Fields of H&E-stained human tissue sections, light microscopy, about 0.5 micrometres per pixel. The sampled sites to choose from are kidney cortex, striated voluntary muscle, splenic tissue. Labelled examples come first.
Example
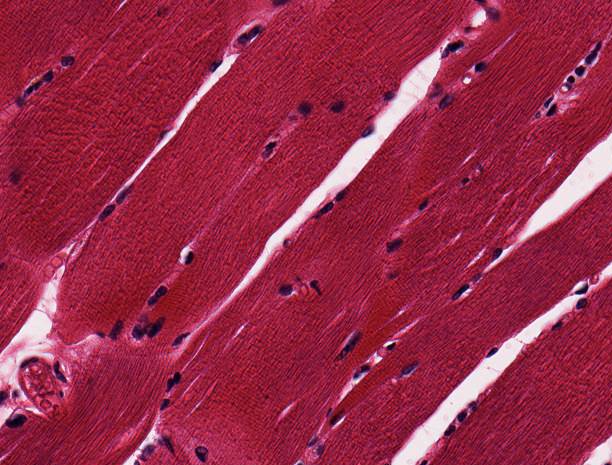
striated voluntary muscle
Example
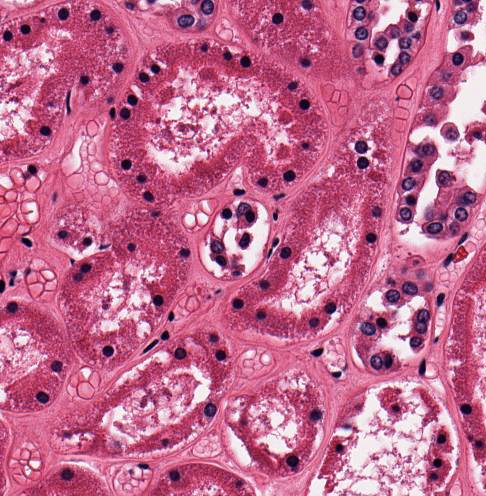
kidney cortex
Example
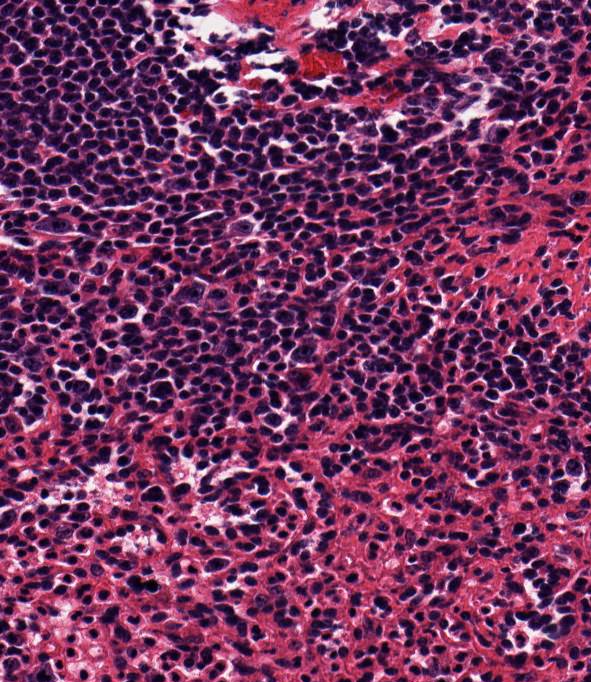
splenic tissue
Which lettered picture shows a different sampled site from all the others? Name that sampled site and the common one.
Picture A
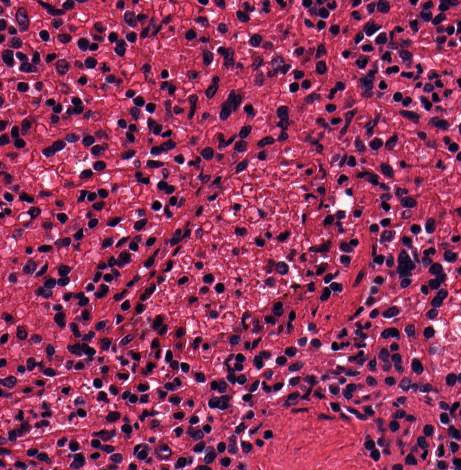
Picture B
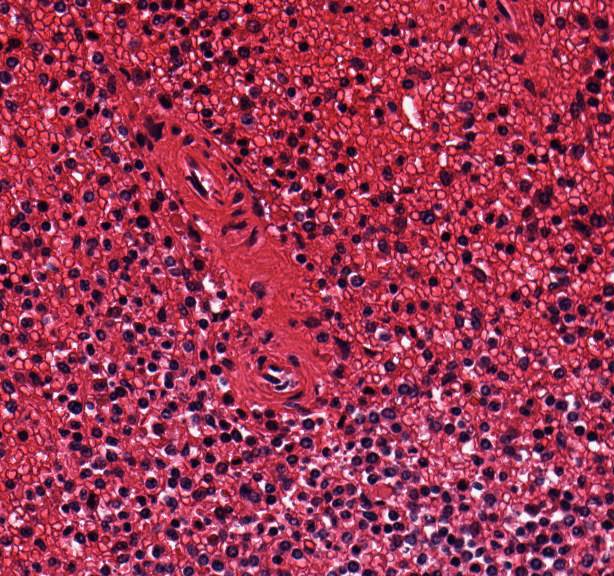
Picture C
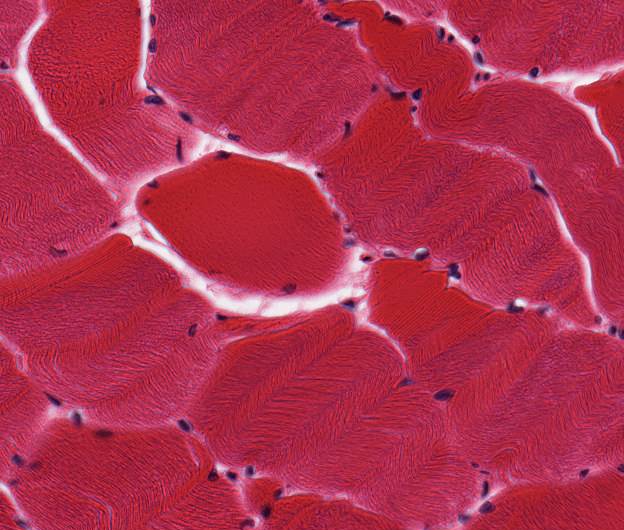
Exception: C, showing striated voluntary muscle. Remaining pictures: splenic tissue.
